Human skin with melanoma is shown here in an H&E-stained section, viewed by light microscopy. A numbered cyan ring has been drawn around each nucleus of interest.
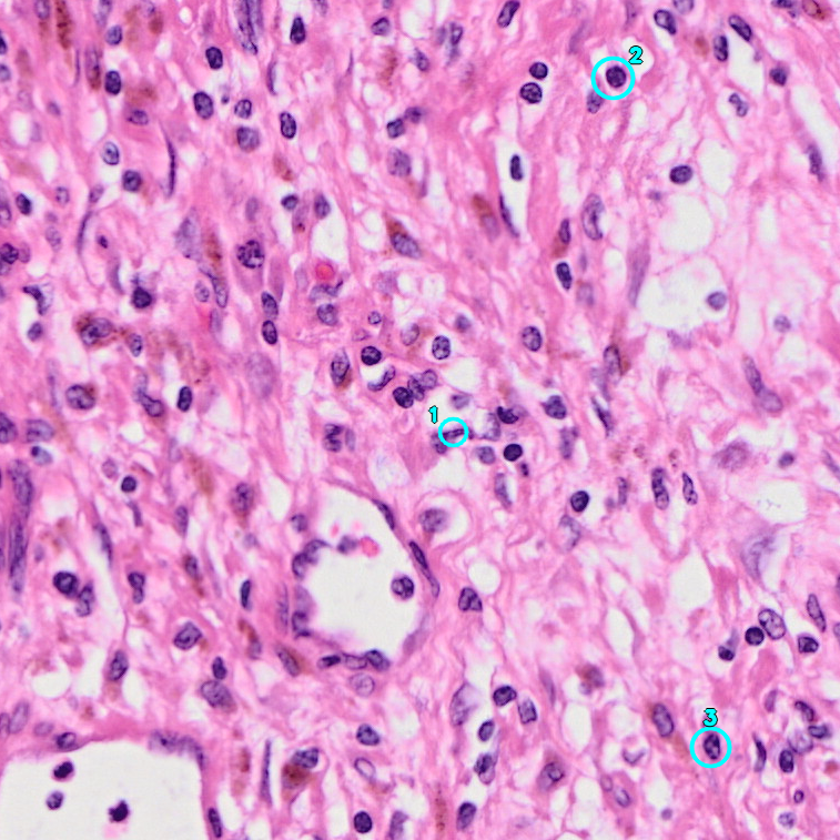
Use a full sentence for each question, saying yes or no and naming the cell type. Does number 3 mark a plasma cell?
Yes, cell 3 is a plasma cell in this tissue section.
